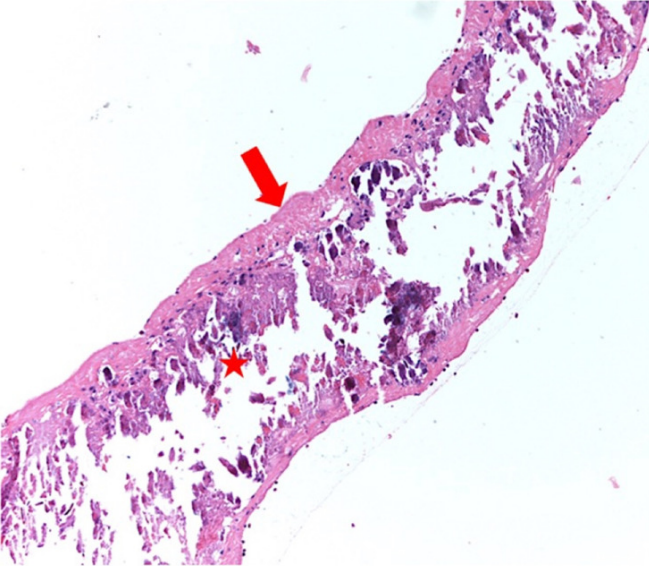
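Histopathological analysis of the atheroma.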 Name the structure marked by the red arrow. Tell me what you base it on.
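Thin, fibrous outer layer. A thin, smooth, homogeneous pink band runs along the upper edge of the tissue strip. The band holds few nuclei and is continuous. Beneath the band lies a loose, fragmented core with purple material.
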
